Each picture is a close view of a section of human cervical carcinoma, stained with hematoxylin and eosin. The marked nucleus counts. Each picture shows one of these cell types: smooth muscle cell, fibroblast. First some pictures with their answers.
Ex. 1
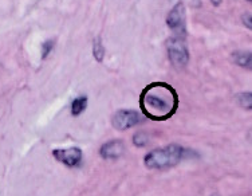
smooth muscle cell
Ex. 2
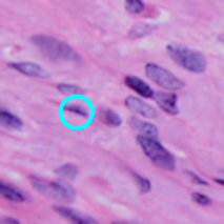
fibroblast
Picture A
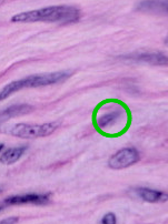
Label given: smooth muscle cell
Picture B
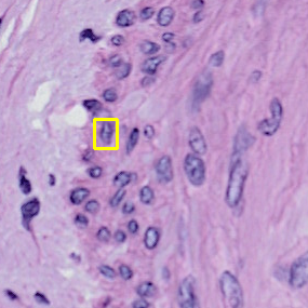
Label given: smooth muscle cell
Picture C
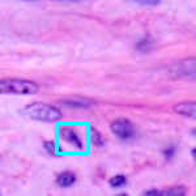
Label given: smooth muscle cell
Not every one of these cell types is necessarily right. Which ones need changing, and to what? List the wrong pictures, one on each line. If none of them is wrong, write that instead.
No label is wrong.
